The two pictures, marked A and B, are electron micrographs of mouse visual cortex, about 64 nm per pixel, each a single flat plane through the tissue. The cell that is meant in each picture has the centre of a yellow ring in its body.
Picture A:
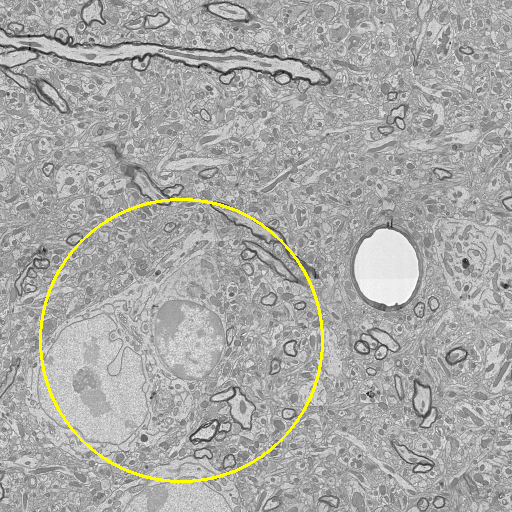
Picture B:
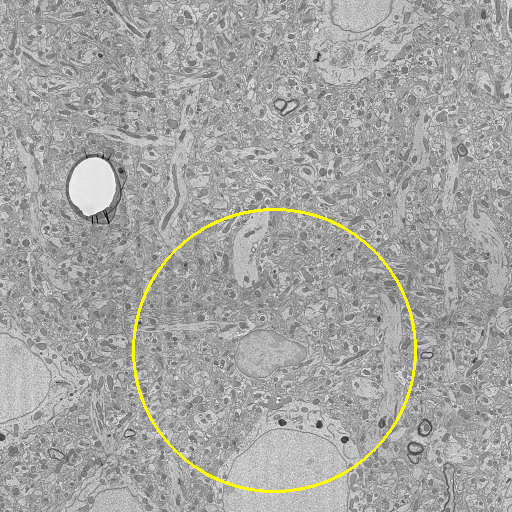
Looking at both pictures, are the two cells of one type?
No, picture A shows an oligodendrocyte and picture B shows a microglial cell.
